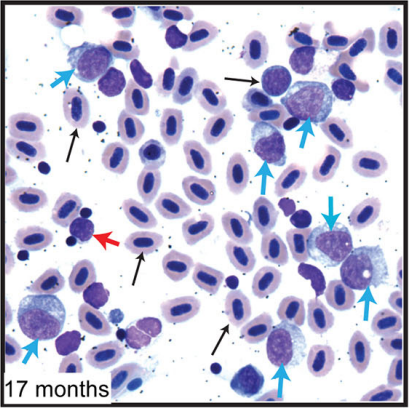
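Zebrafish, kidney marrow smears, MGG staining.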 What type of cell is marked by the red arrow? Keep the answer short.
lymphocytes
